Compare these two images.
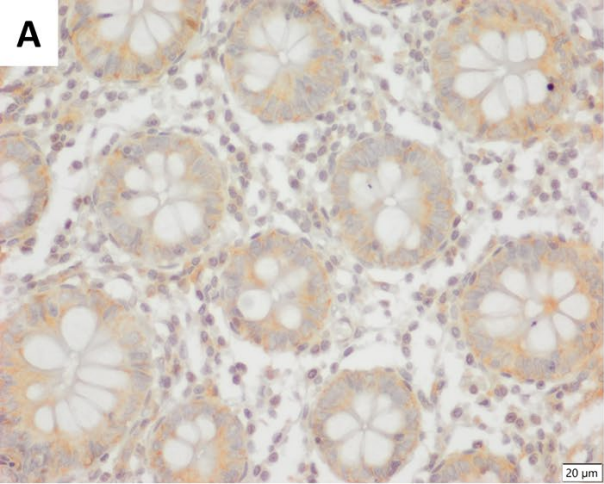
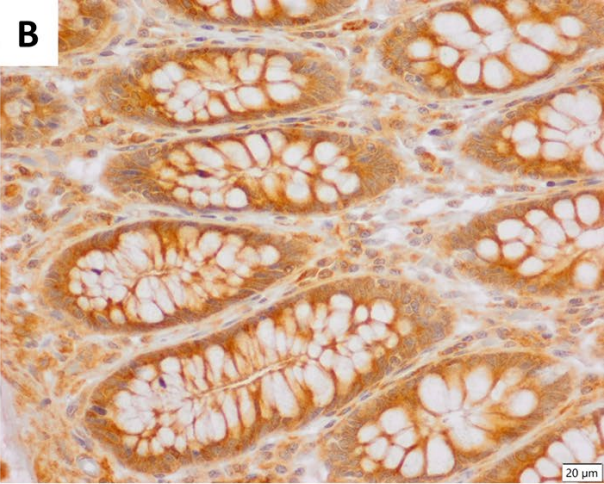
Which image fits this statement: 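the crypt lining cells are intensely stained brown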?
The second image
